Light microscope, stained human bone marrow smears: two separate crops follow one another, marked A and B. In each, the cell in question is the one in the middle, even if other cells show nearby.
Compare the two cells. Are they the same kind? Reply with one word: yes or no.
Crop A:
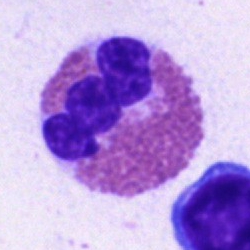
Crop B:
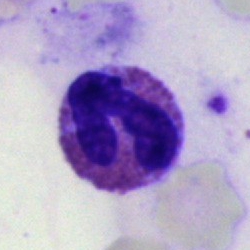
yes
